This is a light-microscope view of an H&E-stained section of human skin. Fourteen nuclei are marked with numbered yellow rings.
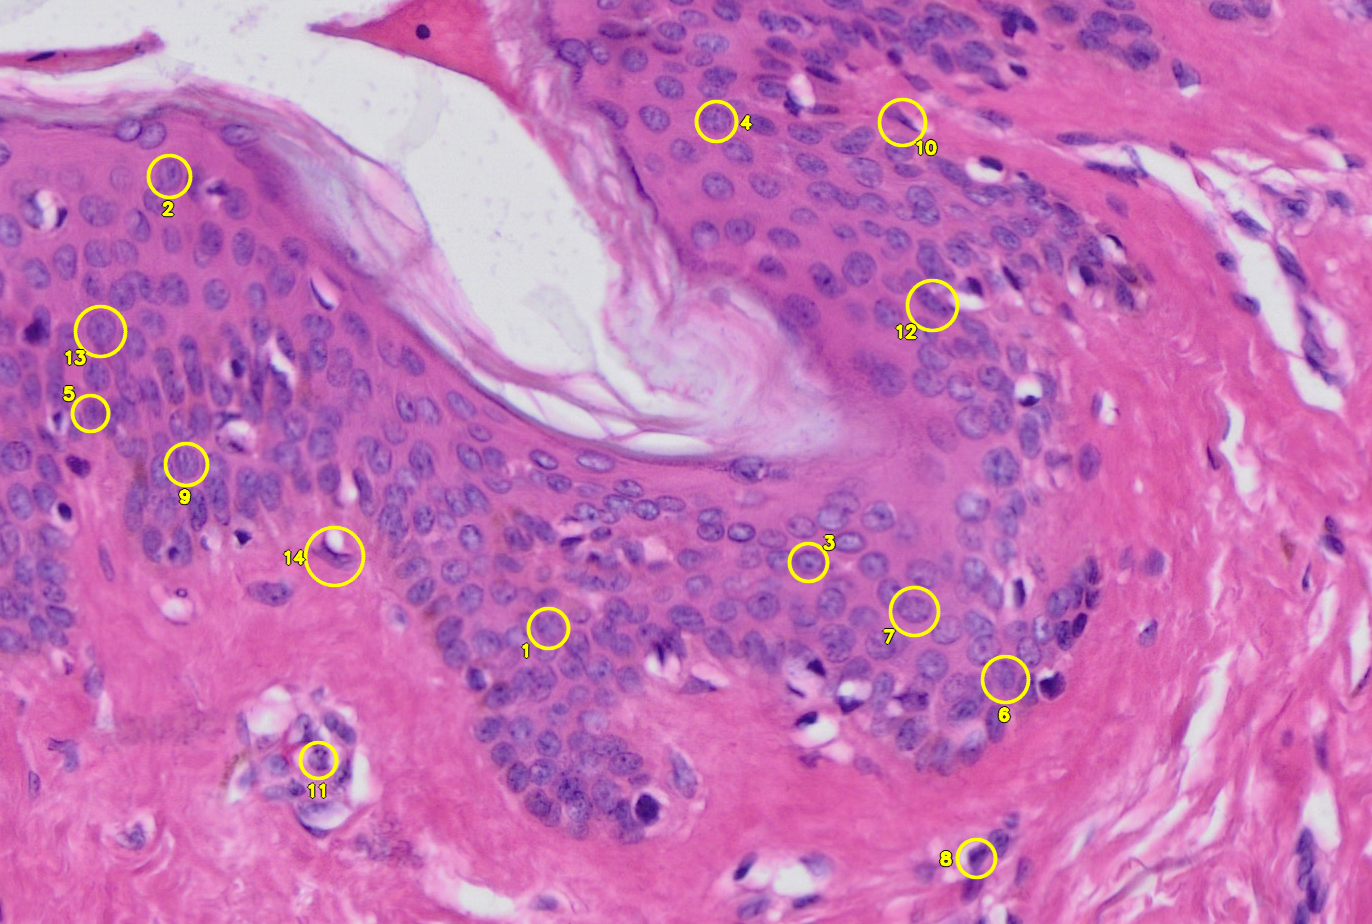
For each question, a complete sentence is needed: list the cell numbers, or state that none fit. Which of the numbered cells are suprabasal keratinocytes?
The cells given the numbers 1, 2, 3, 4, 7, 9 and 13 are suprabasal keratinocytes.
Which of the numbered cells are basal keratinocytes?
When it comes to cells 5, 6 and 12, they are basal keratinocytes.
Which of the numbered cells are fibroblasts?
Cells that were given the numbers 10 and 14 are fibroblasts.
